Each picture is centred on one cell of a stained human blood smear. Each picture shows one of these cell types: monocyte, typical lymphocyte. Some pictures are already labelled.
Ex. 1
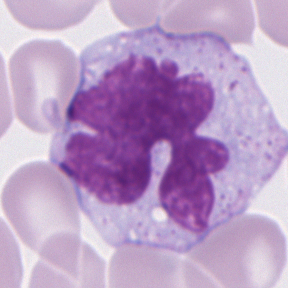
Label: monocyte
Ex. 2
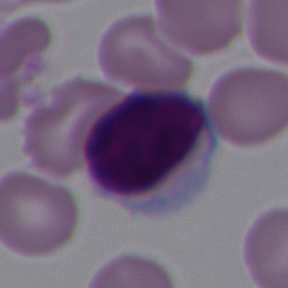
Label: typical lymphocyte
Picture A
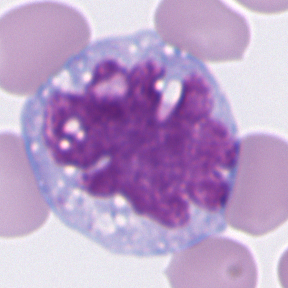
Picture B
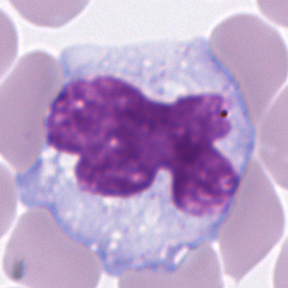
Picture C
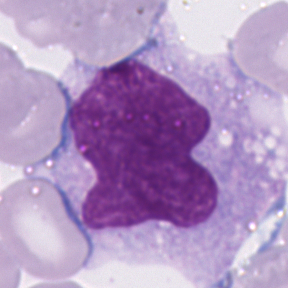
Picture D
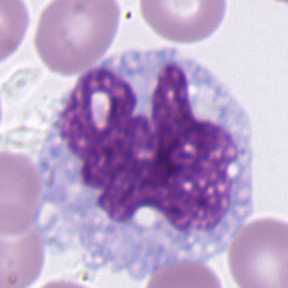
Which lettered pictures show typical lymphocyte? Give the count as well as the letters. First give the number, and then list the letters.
0, none of them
